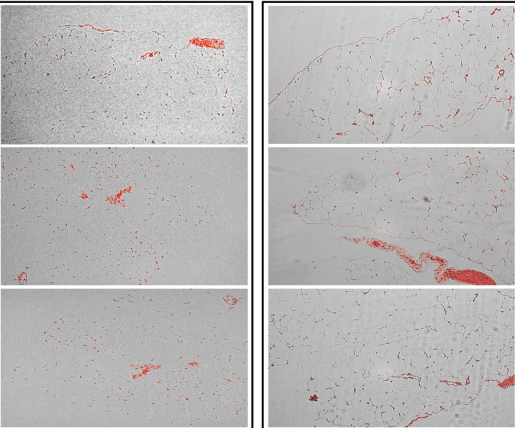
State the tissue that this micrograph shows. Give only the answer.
fat pads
